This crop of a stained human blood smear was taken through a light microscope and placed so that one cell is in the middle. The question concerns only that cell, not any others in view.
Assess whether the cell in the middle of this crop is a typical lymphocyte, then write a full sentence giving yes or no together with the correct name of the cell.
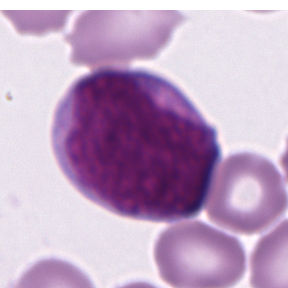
No, the central cell is identified not as a typical lymphocyte but as a myeloblast.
